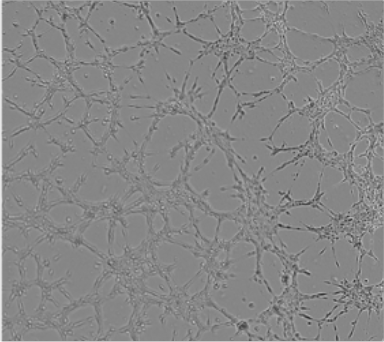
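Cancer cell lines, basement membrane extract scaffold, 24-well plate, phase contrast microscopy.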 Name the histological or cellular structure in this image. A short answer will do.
Pseudo-vascular network.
